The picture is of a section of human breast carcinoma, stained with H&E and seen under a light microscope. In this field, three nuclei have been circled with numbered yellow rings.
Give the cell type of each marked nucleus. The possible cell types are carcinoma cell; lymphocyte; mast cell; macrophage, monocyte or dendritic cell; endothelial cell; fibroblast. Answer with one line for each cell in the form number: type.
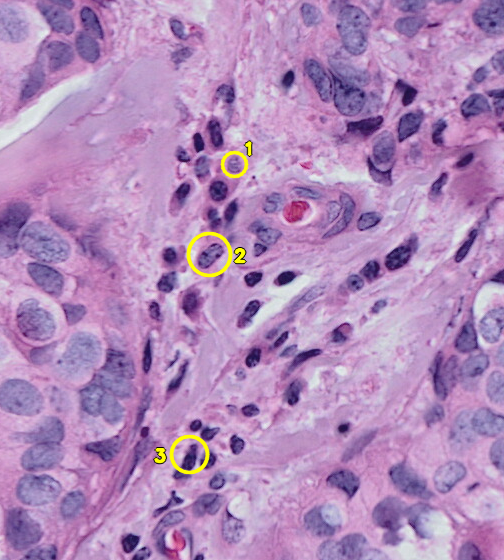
1: mast cell
2: mast cell
3: lymphocyte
